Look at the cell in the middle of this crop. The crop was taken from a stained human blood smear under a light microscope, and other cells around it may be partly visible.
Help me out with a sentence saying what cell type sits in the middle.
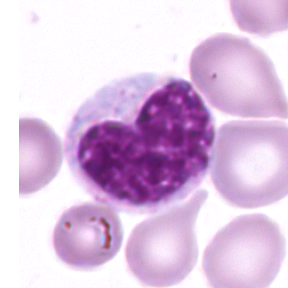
Present in the middle of the crop is a metamyelocyte.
